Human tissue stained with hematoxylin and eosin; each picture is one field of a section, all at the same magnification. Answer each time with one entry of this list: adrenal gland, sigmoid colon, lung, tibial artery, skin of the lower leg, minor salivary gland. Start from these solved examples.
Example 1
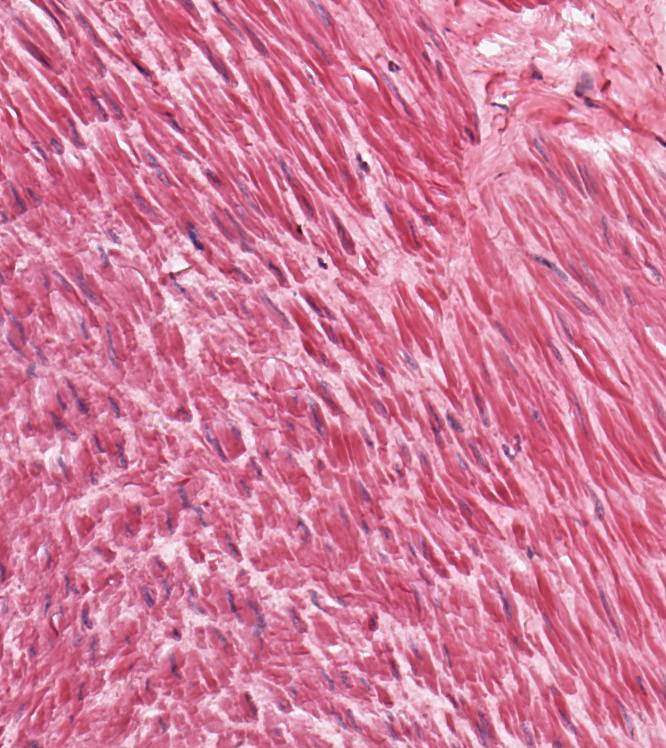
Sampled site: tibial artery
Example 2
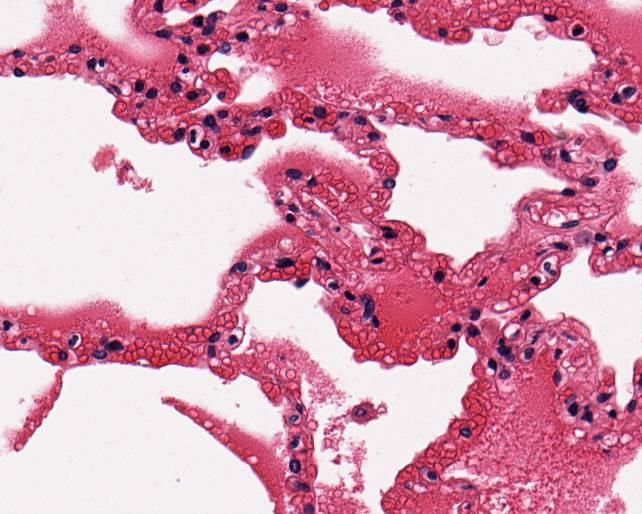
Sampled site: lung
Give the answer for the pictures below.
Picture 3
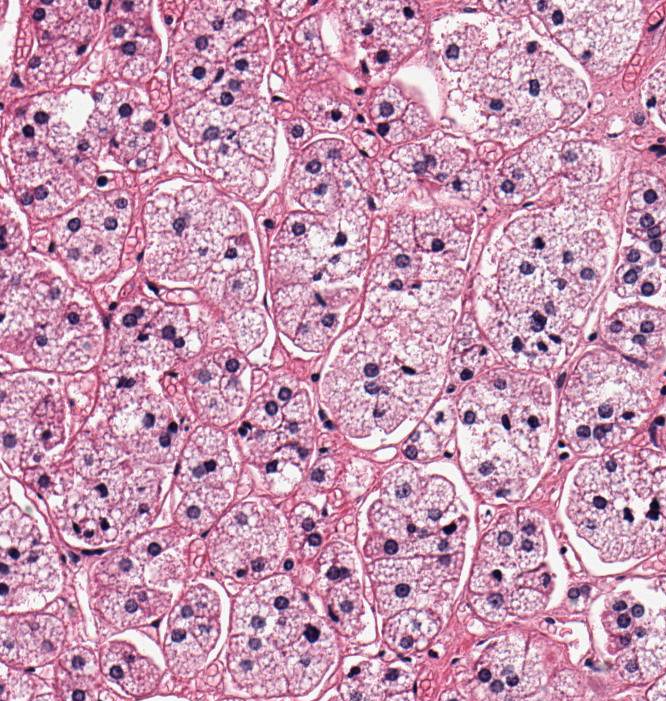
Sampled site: adrenal gland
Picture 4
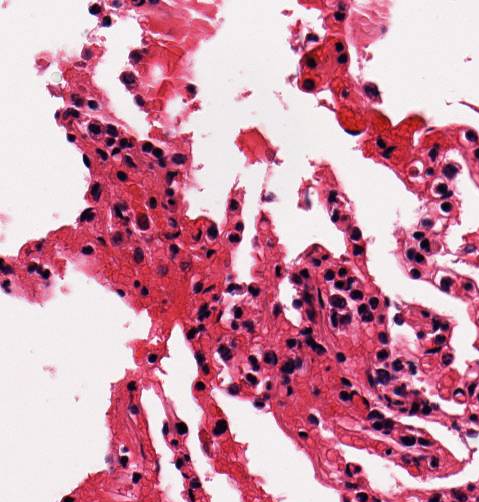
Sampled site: lung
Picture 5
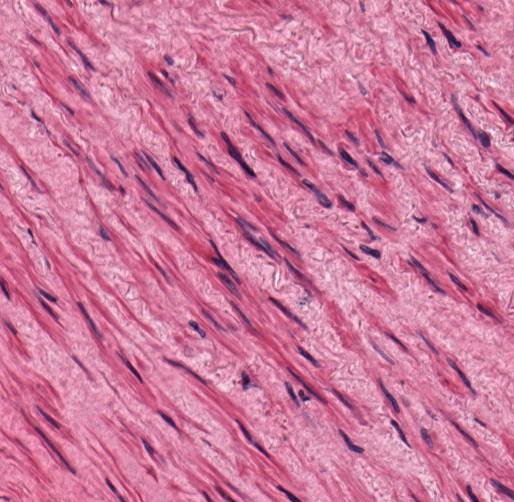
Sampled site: tibial artery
